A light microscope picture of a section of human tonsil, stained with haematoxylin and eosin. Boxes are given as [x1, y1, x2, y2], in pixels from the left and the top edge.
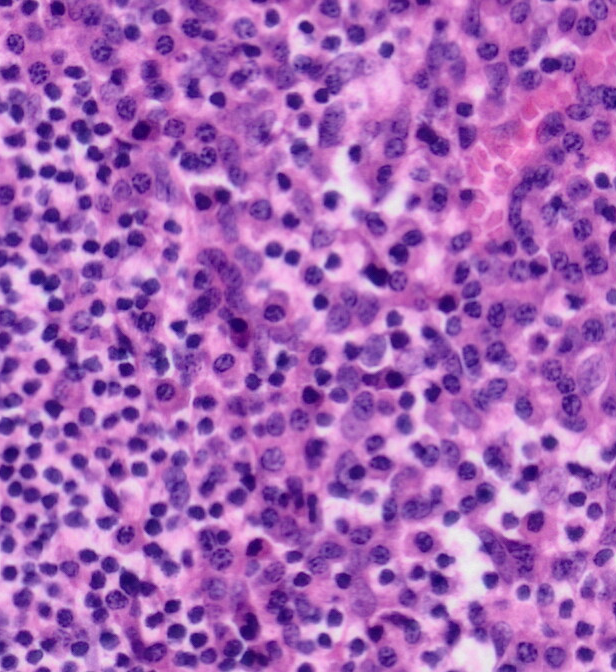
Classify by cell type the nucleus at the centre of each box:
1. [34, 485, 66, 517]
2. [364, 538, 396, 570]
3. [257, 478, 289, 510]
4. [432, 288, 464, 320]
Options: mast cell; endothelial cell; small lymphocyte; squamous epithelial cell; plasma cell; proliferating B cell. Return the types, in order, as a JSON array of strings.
["small lymphocyte", "plasma cell", "plasma cell", "plasma cell"]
